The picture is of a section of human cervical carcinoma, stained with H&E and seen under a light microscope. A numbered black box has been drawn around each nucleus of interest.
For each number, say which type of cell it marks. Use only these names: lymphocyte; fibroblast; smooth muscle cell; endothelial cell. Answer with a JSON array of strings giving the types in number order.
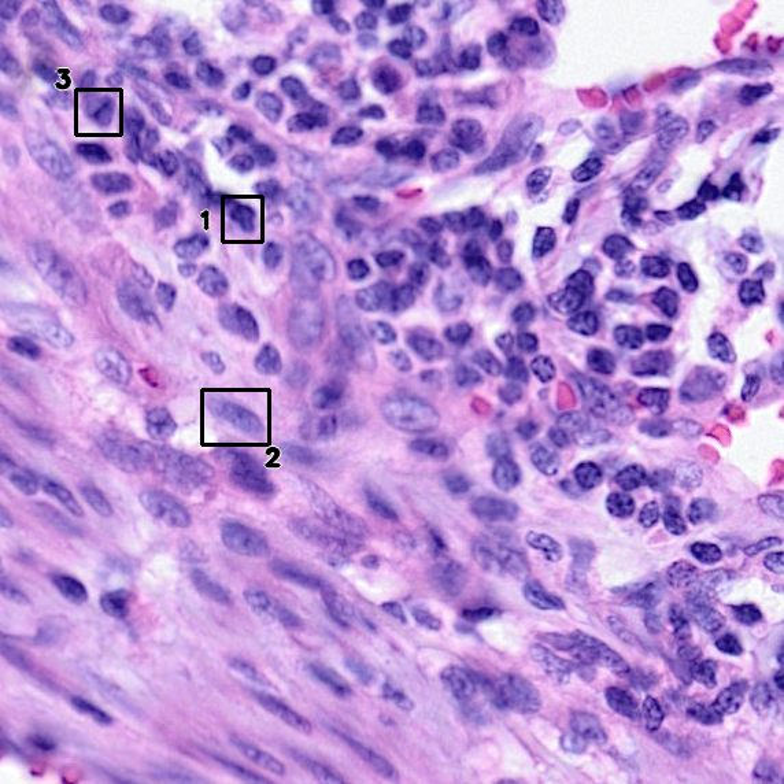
["lymphocyte", "fibroblast", "lymphocyte"]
